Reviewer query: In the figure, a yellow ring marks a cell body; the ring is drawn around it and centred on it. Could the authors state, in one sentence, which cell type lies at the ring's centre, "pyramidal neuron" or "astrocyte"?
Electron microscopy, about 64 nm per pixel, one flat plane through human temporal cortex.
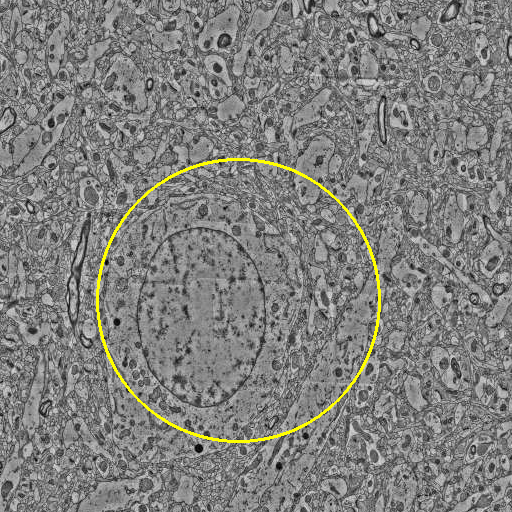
The ring is centred on a pyramidal neuron.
